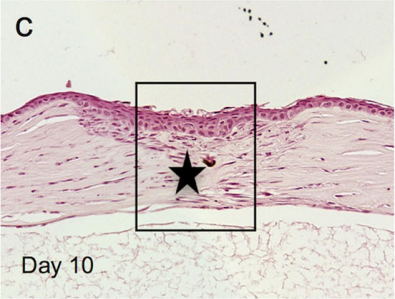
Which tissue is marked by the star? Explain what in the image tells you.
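The star lies in the stroma beneath a continuous thickened epithelium. The stromal lamellae around the star are disrupted compared with the regular parallel lamellae nearby. On this evidence: scar tissue.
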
